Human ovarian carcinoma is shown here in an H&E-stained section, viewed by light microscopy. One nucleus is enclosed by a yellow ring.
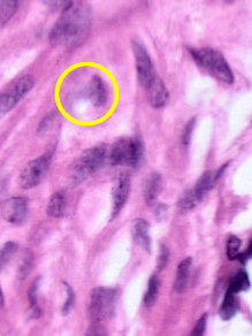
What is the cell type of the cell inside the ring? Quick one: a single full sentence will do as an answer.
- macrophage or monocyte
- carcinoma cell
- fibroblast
For the purposes of cell typing, the cell inside the ring is categorized as a fibroblast.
